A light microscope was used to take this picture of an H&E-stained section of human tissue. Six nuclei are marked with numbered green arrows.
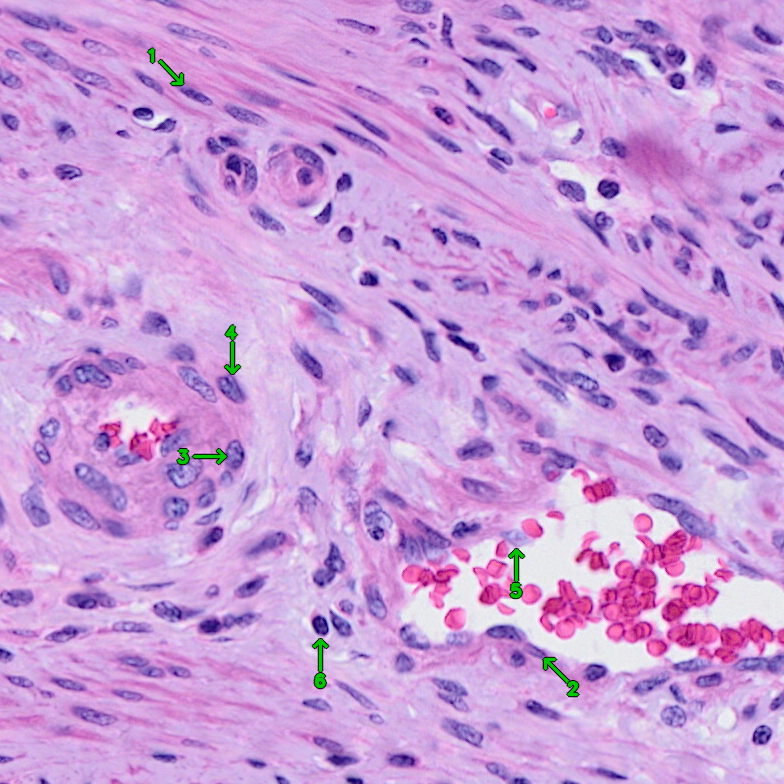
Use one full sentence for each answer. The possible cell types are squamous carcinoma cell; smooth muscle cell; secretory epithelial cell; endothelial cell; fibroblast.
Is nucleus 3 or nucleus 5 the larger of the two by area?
At about 1.5 times the area of nucleus 5, nucleus 3 is the larger of the two.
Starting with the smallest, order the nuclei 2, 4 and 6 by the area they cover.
By area, going up from the smallest, they rank 2, 6, 4.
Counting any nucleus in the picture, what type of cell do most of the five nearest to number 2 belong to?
Endothelial cells make up most of the five nuclei closest to number 2.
